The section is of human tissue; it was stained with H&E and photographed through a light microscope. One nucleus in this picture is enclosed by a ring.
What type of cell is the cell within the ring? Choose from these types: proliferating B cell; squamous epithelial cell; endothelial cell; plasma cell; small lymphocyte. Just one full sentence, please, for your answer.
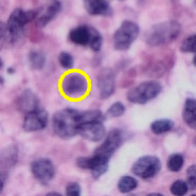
As to its cell type, the cell within the ring is a proliferating B cell.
